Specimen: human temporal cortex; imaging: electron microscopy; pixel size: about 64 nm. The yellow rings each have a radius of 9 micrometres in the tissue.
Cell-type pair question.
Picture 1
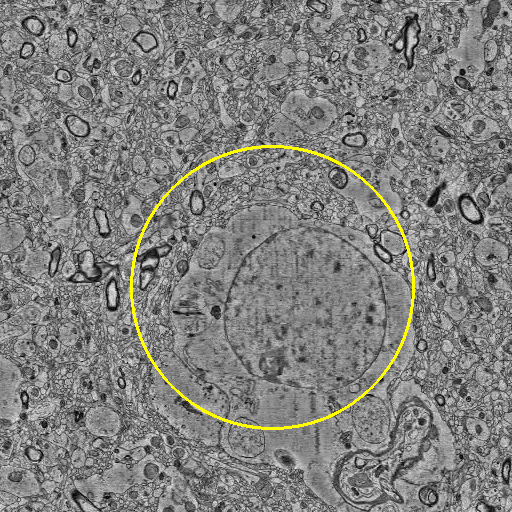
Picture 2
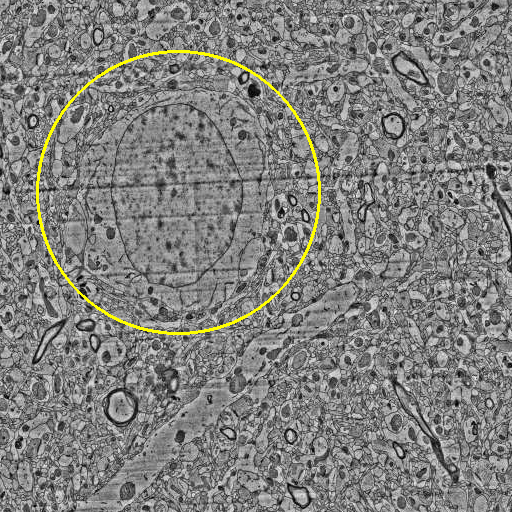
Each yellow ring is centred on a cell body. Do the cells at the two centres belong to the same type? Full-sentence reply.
No, the two cells belong to two types.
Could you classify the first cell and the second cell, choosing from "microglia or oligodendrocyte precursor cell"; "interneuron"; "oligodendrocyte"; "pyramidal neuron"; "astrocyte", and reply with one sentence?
The second cell is a pyramidal neuron, while the first is an astrocyte.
